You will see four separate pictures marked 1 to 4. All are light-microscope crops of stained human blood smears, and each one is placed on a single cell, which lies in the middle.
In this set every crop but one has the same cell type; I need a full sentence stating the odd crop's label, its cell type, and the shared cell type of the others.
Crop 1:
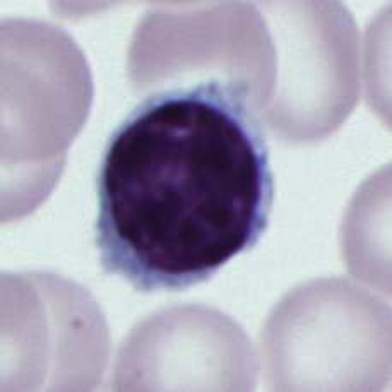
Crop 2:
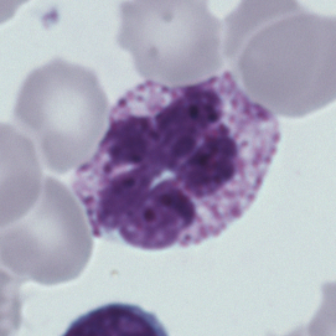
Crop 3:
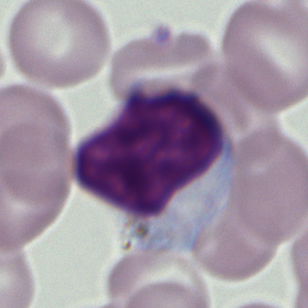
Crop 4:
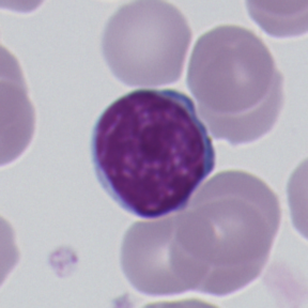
Only crop 2 differs, being a basophil, while the others all show typical lymphocytes.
